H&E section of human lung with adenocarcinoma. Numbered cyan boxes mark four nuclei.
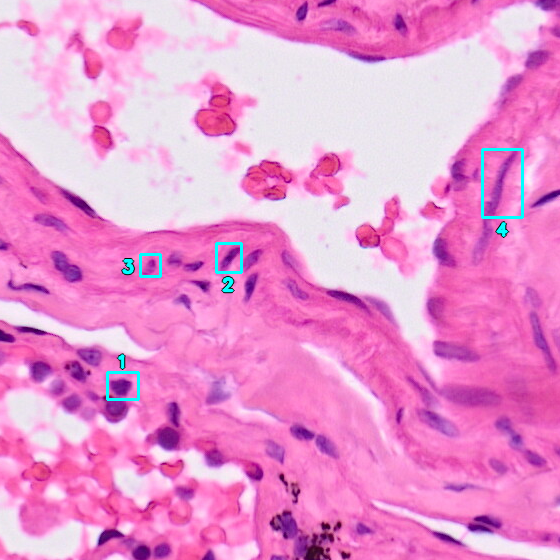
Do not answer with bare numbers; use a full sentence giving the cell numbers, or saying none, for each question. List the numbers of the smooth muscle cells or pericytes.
Cells 2, 3 and 4 are recognised here as smooth muscle cells or pericytes.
